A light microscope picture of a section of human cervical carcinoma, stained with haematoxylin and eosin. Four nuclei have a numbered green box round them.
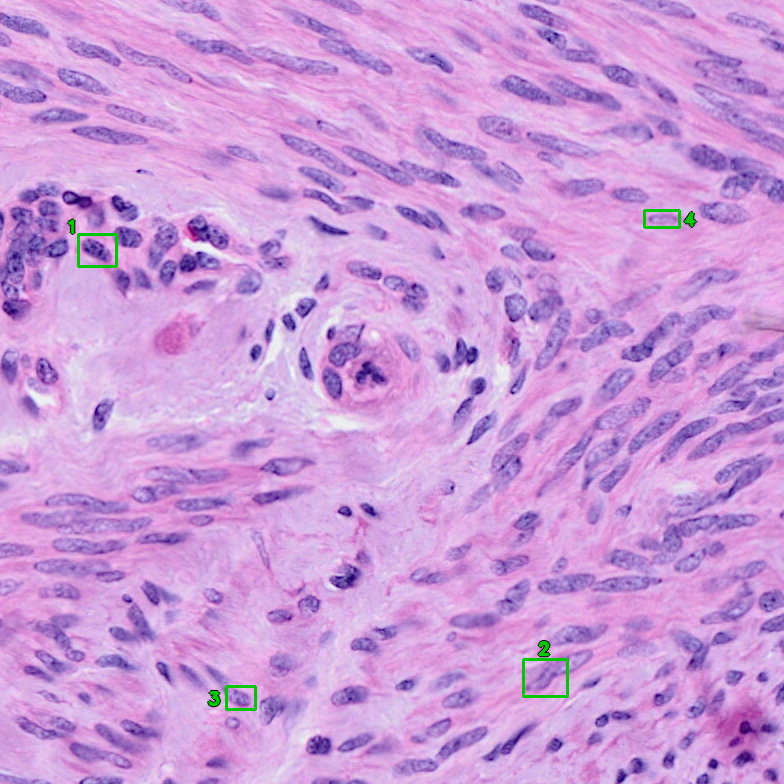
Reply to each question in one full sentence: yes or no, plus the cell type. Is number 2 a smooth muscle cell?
Yes, the one numbered 2 is a smooth muscle cell.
